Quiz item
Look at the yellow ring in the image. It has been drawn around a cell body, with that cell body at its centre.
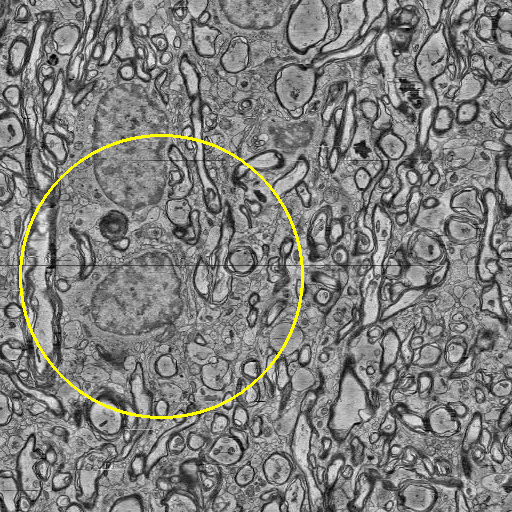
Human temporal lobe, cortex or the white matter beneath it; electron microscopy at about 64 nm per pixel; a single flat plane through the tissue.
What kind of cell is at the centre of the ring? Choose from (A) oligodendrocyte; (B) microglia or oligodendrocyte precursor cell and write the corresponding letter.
A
